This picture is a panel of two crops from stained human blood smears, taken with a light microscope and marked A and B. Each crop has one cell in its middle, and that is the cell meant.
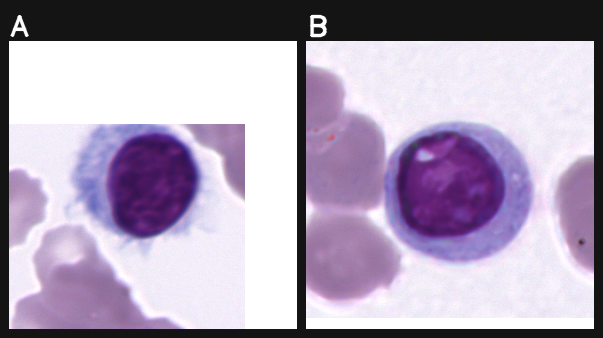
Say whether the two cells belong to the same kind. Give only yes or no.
no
